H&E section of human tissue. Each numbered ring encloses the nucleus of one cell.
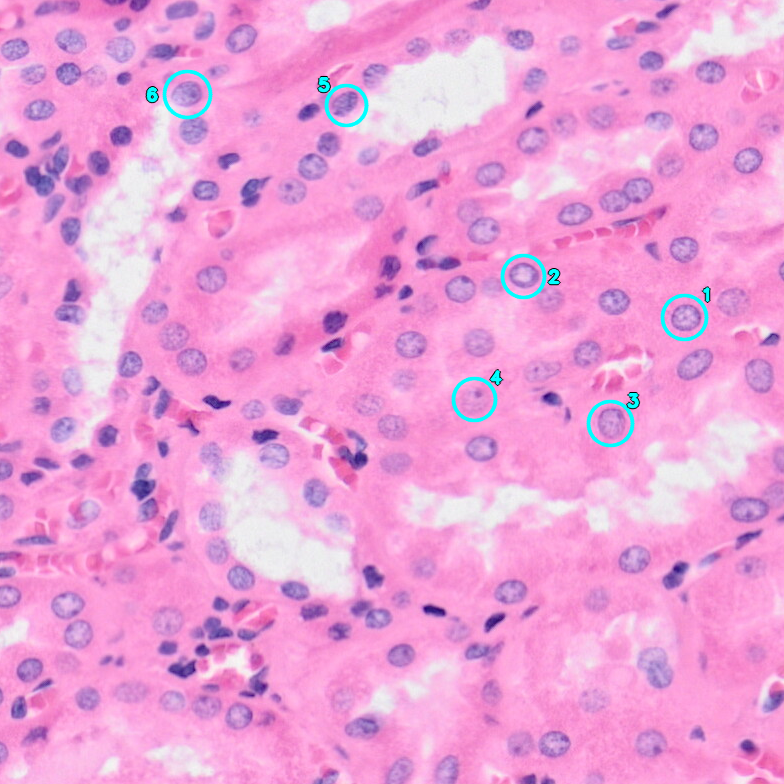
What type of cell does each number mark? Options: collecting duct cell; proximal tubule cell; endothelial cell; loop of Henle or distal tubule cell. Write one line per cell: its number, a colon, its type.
1: proximal tubule cell
2: proximal tubule cell
3: proximal tubule cell
4: proximal tubule cell
5: loop of Henle or distal tubule cell
6: loop of Henle or distal tubule cell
